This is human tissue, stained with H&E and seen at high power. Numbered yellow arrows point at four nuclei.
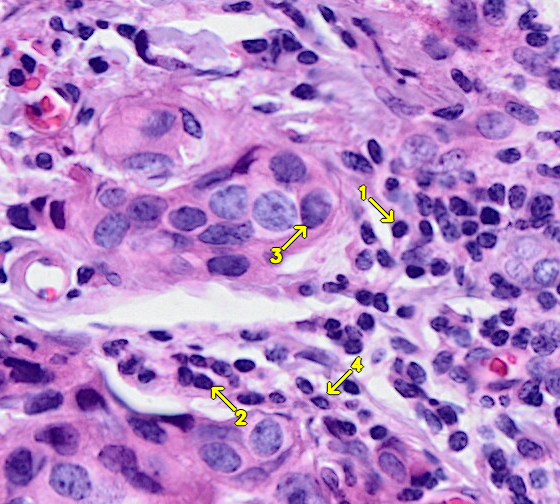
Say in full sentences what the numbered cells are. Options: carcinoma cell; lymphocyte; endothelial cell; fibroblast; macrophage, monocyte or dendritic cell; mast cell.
Cells 1, 2 and 4 are lymphocytes. Cell 3 is a carcinoma cell.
